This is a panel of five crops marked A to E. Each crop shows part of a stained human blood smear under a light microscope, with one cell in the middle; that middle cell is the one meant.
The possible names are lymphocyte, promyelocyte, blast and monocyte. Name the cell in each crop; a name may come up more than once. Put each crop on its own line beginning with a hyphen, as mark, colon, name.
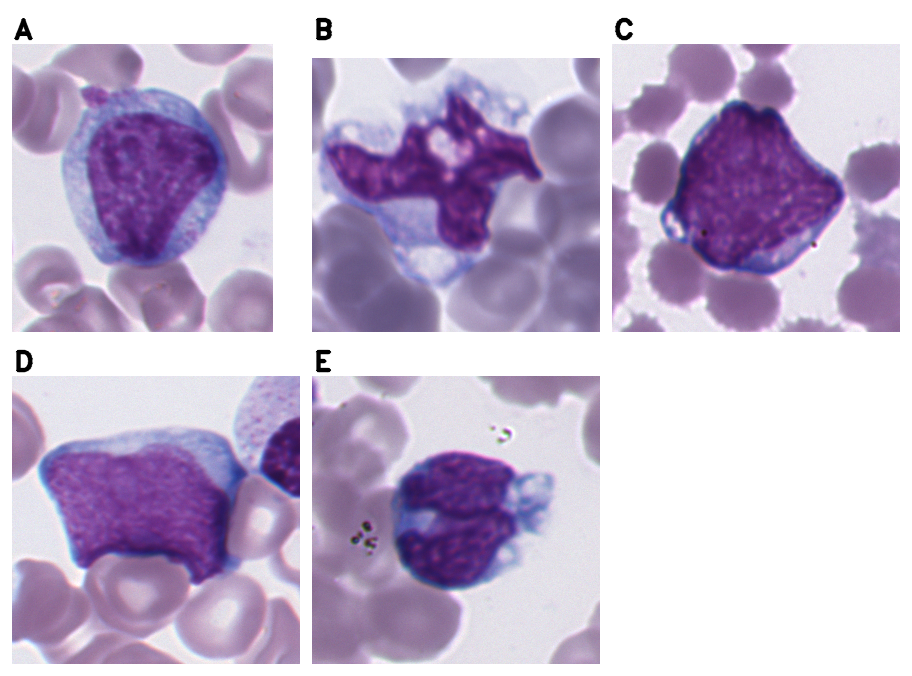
- A: promyelocyte
- B: monocyte
- C: blast
- D: blast
- E: monocyte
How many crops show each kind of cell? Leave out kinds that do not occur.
monocyte: 2
blast: 2
promyelocyte: 1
